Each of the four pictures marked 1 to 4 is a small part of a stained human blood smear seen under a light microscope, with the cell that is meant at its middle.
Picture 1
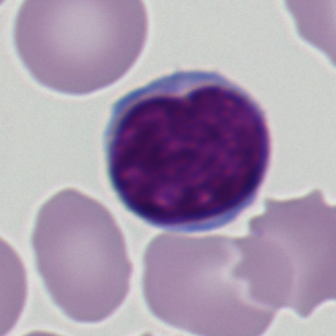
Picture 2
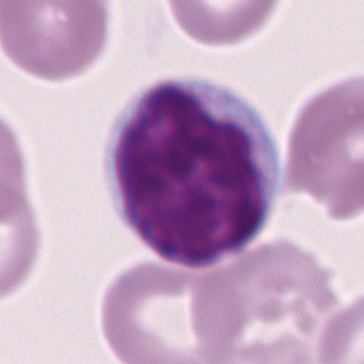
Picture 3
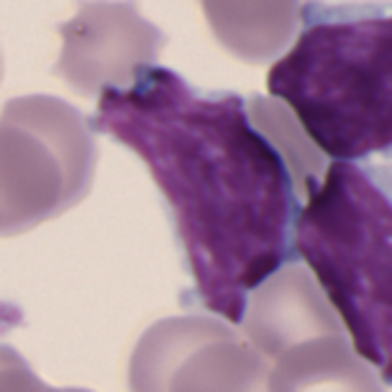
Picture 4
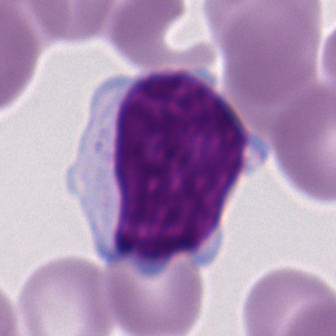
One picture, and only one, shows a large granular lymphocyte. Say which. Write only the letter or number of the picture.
4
